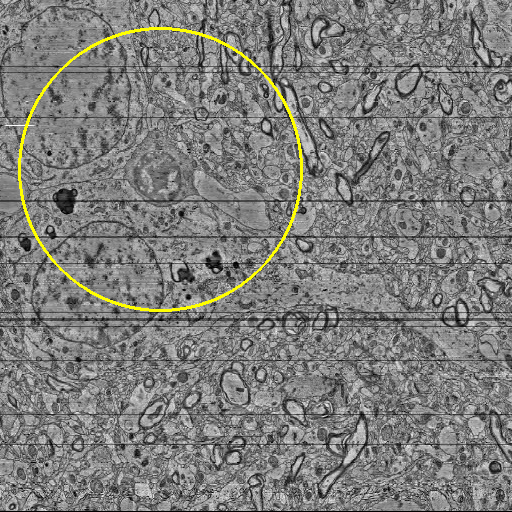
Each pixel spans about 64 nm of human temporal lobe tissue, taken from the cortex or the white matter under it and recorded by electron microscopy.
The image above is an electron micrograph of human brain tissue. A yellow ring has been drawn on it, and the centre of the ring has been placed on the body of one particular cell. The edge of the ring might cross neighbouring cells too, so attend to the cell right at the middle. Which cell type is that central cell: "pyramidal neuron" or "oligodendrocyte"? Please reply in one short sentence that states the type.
The central cell in the ring is an oligodendrocyte.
